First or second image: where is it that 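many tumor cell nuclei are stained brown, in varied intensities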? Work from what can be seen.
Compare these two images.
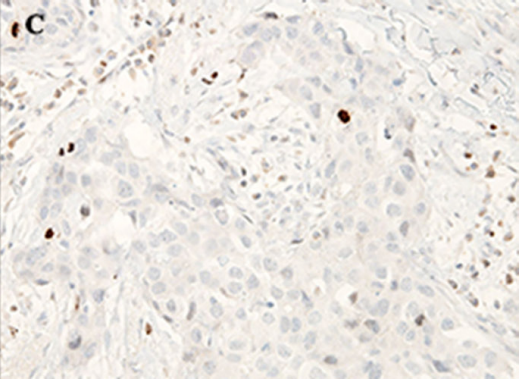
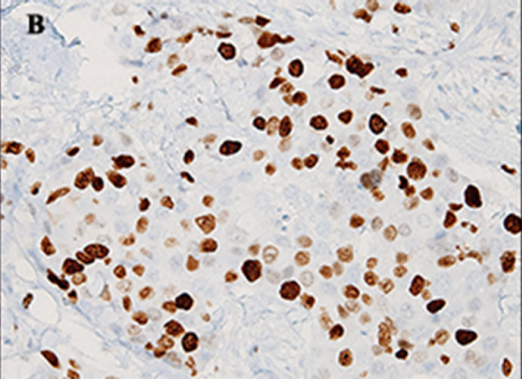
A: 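First image: only a handful of nuclei are brown; most are pale. Second image: numerous nuclei are brown, ranging from pale tan to very dark. That points to this answer: the second image.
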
